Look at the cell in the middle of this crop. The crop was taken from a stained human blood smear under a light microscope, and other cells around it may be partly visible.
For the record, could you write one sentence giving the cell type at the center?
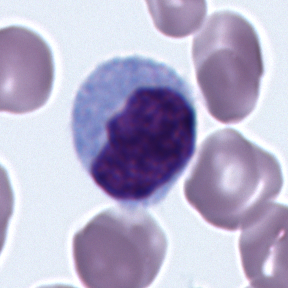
For this crop, the cell in the middle is a monocyte.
